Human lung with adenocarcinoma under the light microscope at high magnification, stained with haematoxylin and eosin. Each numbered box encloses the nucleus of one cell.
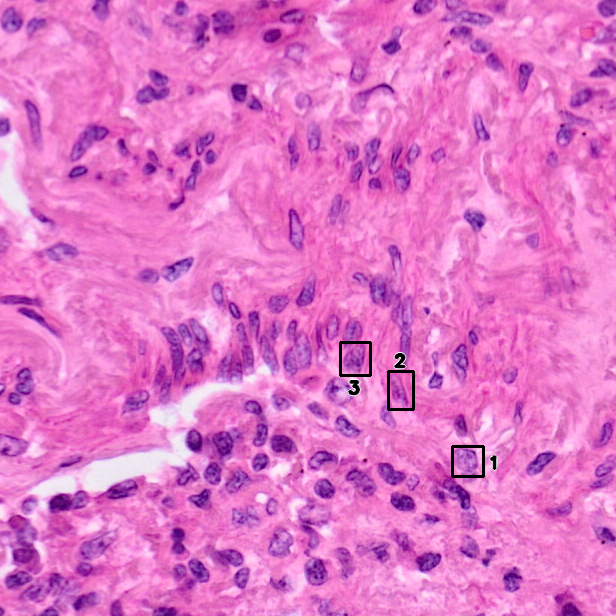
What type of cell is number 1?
fibroblast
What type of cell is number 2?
smooth muscle cell or pericyte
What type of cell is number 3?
smooth muscle cell or pericyte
